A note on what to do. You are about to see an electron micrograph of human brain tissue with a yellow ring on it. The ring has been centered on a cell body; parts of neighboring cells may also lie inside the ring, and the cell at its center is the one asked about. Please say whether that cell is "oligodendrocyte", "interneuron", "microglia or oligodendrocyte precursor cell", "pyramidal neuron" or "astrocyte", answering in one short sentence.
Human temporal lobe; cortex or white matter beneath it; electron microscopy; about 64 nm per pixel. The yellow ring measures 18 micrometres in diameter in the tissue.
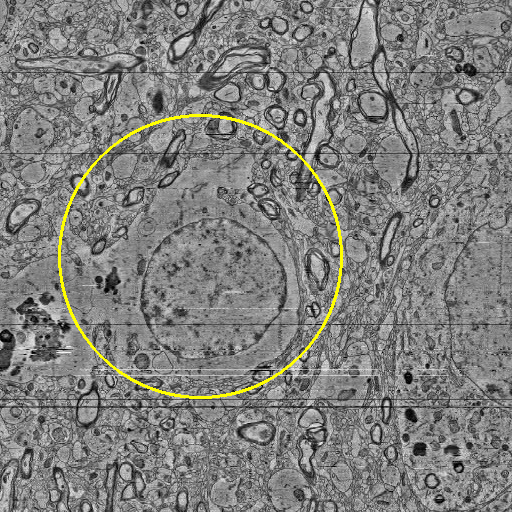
The yellow ring sits on an astrocyte.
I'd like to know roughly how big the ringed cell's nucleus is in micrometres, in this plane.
About 10 micrometers across, in this plane.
